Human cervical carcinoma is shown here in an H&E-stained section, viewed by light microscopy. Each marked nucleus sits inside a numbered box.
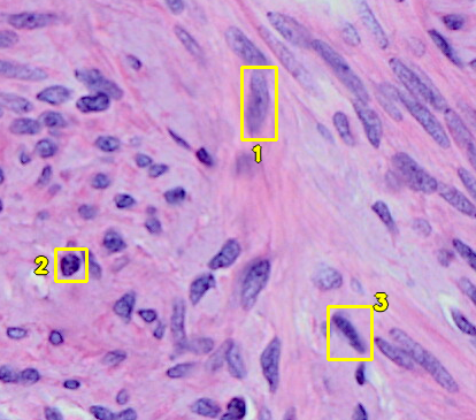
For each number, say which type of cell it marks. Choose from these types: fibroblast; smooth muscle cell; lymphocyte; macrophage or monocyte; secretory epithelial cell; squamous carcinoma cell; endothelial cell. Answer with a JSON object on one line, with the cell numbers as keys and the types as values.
{"1": "fibroblast", "2": "lymphocyte", "3": "fibroblast"}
